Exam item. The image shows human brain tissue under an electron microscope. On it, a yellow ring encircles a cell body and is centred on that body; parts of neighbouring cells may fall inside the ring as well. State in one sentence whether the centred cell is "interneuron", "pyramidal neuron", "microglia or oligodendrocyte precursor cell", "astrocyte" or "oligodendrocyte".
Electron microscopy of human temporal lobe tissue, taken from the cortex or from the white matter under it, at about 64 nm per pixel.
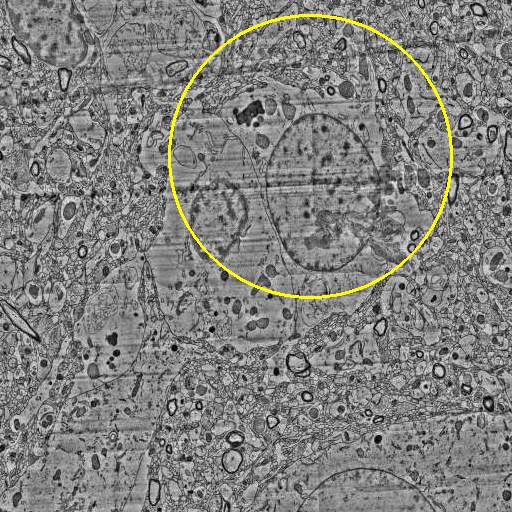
The cell body centred in the ring is an astrocyte.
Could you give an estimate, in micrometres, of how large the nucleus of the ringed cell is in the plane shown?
About 10 by 7 micrometers for the nucleus, in this plane.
